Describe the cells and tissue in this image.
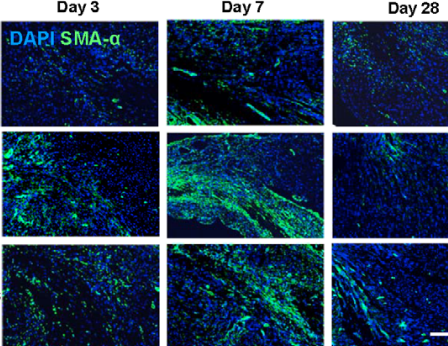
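The blue nuclei are small and numerous, giving the tissue a densely cellular look. The green cells are elongated and spindle-shaped, and in several images they lie in parallel streams or bundles. The amount of green varies strongly between images, being heavy and sheet-like in some and sparse with only scattered thin streaks in others. A few bright green linear profiles may also outline vessel walls.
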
